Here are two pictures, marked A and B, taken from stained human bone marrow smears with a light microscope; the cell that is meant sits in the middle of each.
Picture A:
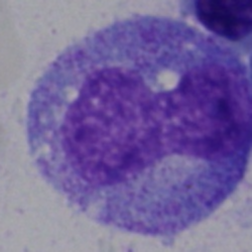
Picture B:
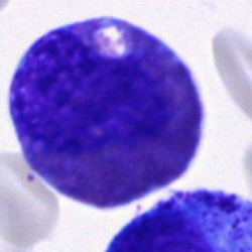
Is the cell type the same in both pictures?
no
